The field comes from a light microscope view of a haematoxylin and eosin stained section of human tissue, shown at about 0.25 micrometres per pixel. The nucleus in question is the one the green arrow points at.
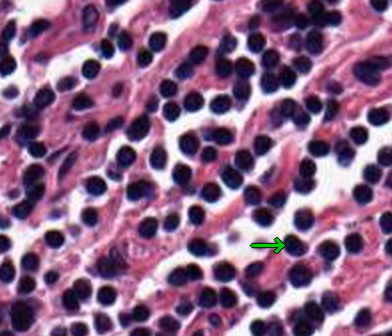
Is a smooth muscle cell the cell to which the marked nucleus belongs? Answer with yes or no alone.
no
